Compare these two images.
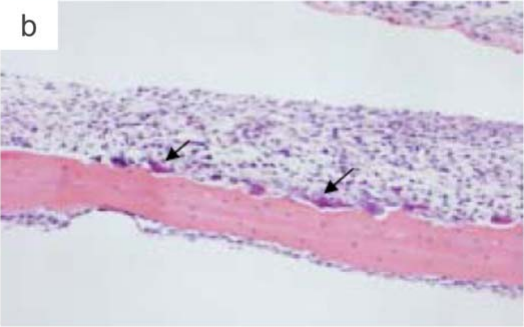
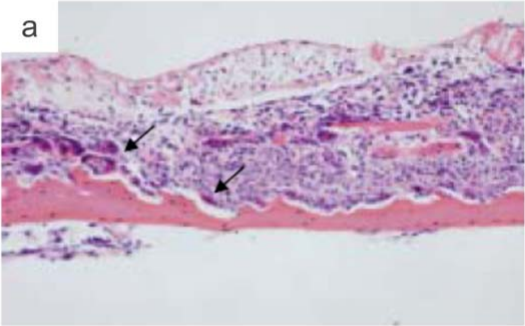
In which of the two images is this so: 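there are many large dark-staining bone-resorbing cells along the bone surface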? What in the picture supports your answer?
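The second image. First image: only a few small dark purple cells lie on the bone surface. Second image: several large dark purple-red cells crowd above the bone, and the bone surface is irregular.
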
